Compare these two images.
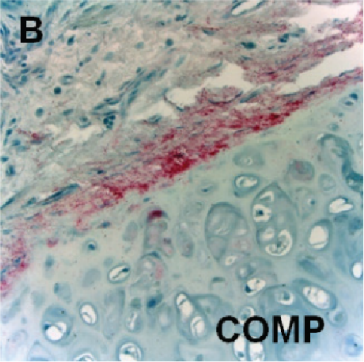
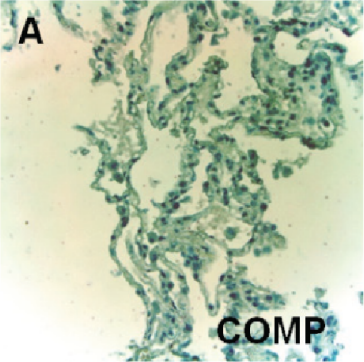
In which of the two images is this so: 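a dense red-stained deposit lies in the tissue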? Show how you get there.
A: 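First image: an intense red band runs along the cartilage border. Second image: the septa are blue-green with no red deposit. So: the first image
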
